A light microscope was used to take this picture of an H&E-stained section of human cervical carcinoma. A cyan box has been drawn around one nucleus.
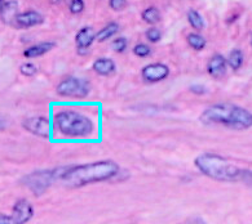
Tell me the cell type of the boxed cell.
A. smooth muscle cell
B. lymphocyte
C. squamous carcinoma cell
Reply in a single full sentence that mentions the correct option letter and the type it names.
That the boxed cell is a smooth muscle cell makes option A the correct choice.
